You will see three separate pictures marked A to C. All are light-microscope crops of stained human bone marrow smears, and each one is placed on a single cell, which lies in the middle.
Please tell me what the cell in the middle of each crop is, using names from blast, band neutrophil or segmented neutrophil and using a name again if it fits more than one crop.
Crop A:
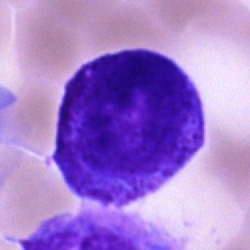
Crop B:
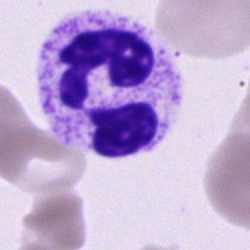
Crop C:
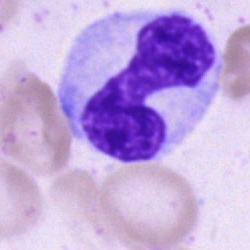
A: blast
B: segmented neutrophil
C: band neutrophil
